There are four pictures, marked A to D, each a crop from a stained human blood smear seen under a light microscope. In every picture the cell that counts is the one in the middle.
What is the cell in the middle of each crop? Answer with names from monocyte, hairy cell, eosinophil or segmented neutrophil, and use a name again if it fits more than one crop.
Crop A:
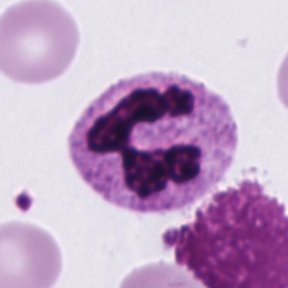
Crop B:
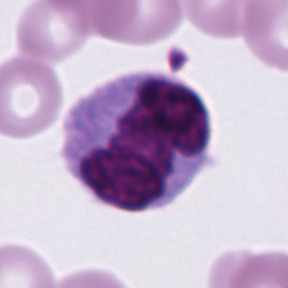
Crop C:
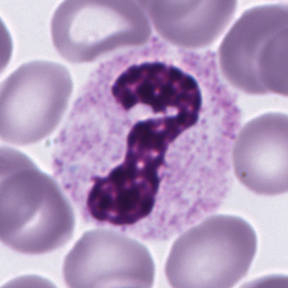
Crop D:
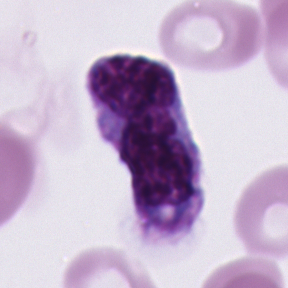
A: segmented neutrophil
B: monocyte
C: segmented neutrophil
D: monocyte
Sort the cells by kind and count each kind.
segmented neutrophil: 2
monocyte: 2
